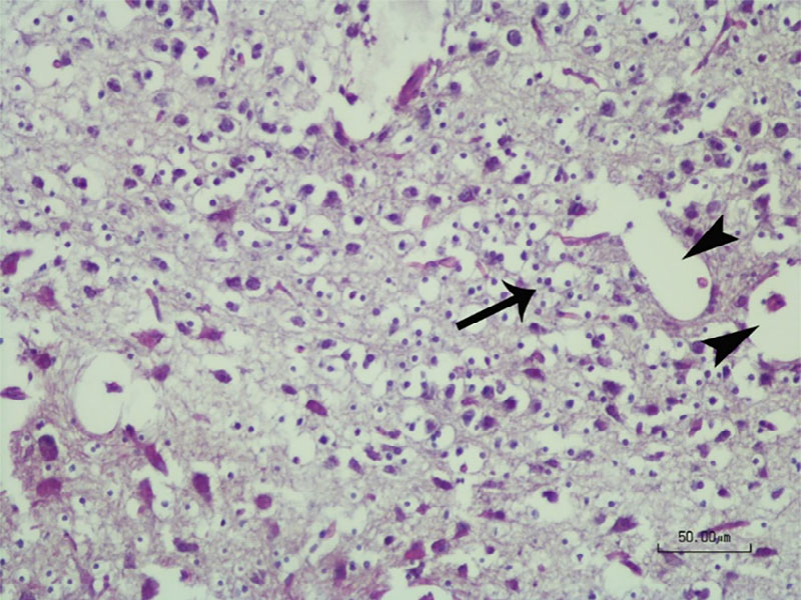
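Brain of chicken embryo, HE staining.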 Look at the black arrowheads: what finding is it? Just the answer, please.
Dilation of Virchow–Robin space.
